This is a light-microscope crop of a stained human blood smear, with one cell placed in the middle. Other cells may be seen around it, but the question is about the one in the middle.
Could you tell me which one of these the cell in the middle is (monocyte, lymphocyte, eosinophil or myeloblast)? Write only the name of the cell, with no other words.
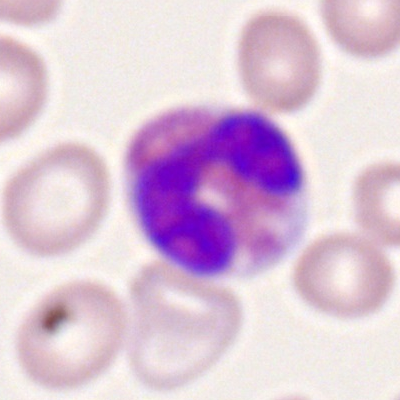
eosinophil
